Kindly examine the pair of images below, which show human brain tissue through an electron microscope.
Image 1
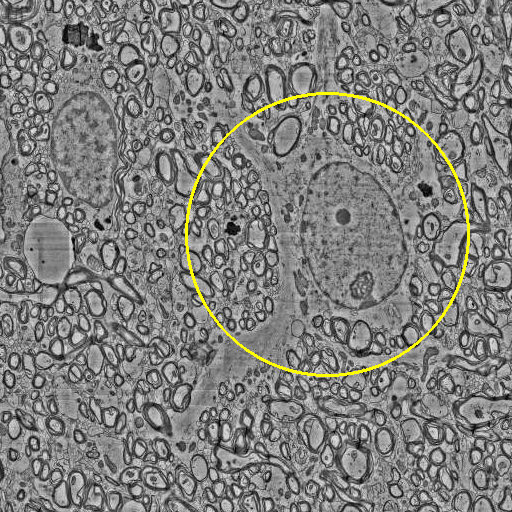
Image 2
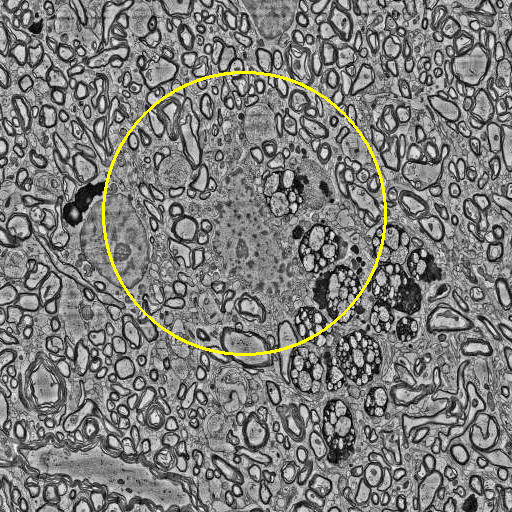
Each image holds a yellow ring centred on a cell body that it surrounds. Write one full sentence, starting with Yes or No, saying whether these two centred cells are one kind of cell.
Yes, both cells at the centres of the yellow rings belong to one kind of cell.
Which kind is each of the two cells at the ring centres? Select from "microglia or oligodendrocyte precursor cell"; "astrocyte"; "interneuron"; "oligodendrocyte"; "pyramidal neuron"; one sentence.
In both pictures the ring is centred on an astrocyte.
